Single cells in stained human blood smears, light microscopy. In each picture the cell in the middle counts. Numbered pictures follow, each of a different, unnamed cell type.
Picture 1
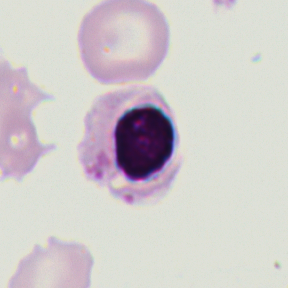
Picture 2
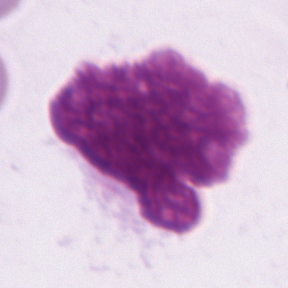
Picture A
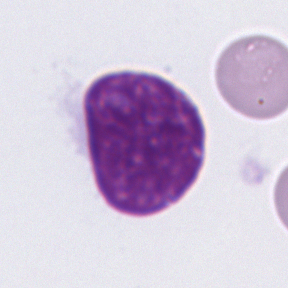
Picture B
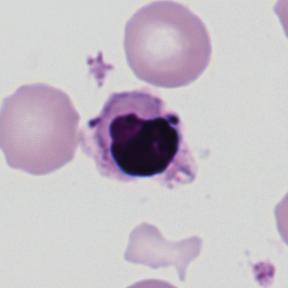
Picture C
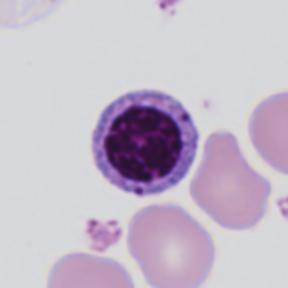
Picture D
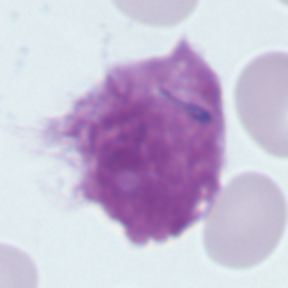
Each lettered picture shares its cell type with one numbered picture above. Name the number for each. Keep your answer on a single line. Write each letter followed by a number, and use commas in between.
A 2, B 1, C 1, D 2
